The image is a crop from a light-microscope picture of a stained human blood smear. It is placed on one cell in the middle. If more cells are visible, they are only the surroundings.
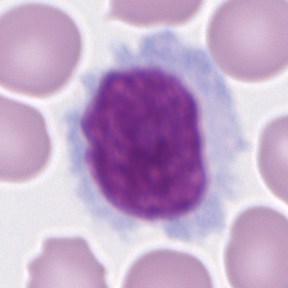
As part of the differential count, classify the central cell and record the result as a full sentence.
Standing at the centre of this crop is a hairy cell.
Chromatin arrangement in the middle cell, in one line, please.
The key point is fine chromatin with no coarse clumps.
